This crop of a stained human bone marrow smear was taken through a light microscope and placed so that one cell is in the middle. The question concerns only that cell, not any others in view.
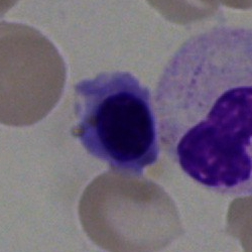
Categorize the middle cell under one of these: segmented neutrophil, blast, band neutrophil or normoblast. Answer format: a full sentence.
Looking at the middle of the crop, the cell there is a normoblast.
